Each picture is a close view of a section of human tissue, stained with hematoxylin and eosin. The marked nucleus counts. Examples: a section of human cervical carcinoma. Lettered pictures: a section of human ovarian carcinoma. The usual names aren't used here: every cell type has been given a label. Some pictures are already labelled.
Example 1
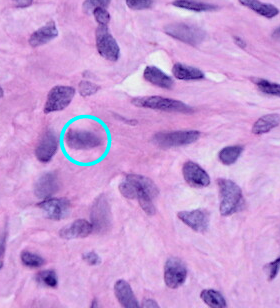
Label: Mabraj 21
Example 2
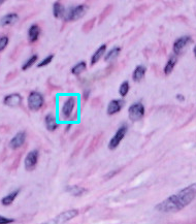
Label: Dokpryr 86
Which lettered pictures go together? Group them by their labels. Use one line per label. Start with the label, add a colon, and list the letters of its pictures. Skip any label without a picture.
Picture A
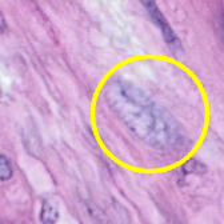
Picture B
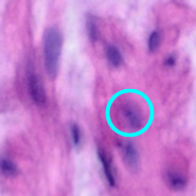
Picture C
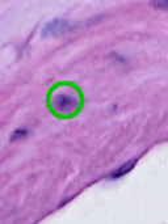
Mabraj 21: A
Dokpryr 86: B, C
